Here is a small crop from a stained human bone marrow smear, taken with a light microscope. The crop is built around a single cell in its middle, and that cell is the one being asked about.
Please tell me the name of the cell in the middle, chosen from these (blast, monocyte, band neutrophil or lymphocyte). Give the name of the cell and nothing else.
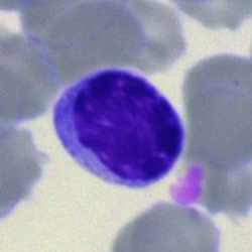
lymphocyte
